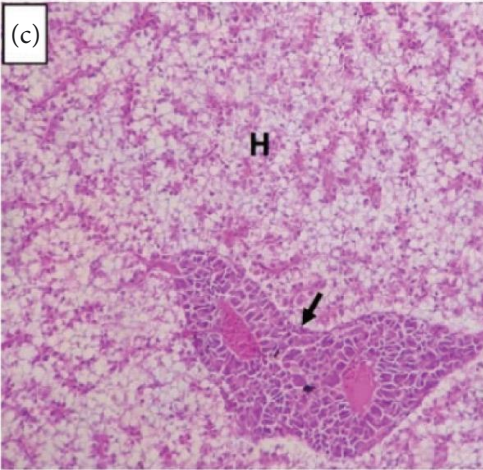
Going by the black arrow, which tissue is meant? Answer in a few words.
pancreatic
